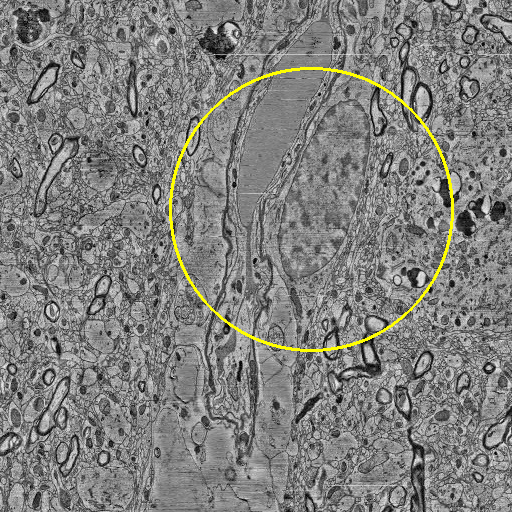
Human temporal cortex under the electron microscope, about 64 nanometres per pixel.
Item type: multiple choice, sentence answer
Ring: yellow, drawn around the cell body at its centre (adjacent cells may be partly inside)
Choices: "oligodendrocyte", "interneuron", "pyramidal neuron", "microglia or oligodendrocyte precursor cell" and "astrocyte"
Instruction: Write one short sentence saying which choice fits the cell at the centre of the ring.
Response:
This ring is drawn around an oligodendrocyte.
